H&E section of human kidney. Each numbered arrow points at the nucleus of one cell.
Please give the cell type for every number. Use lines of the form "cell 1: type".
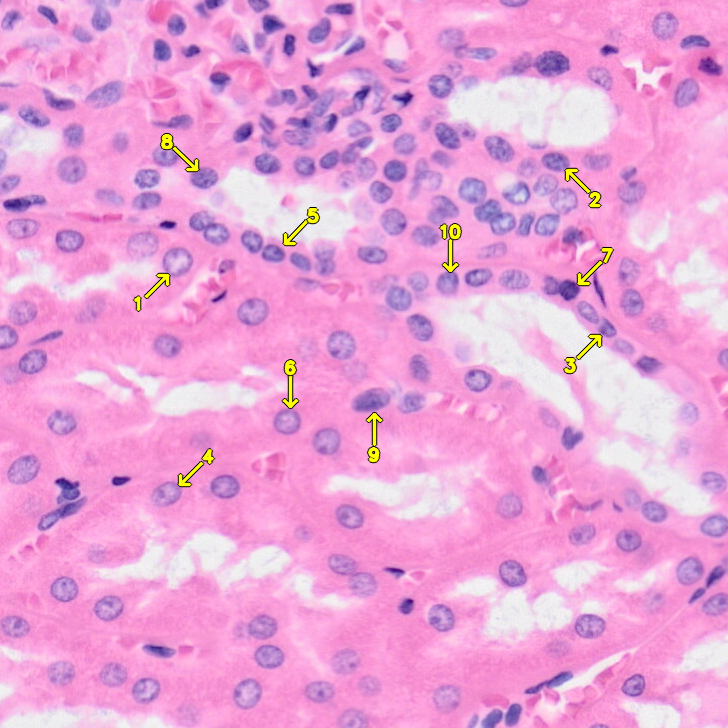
cell 1: proximal tubule cell
cell 2: loop of Henle or distal tubule cell
cell 3: collecting duct cell
cell 4: proximal tubule cell
cell 5: loop of Henle or distal tubule cell
cell 6: proximal tubule cell
cell 7: collecting duct cell
cell 8: loop of Henle or distal tubule cell
cell 9: endothelial cell
cell 10: collecting duct cell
